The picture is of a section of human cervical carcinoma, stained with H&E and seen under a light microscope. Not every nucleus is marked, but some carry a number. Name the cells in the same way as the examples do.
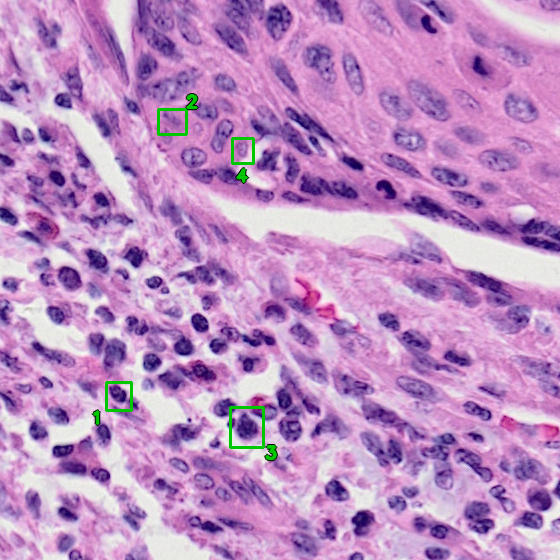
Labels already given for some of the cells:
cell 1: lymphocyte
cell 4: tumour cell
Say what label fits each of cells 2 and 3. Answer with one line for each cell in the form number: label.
2: tumour cell
3: lymphocyte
